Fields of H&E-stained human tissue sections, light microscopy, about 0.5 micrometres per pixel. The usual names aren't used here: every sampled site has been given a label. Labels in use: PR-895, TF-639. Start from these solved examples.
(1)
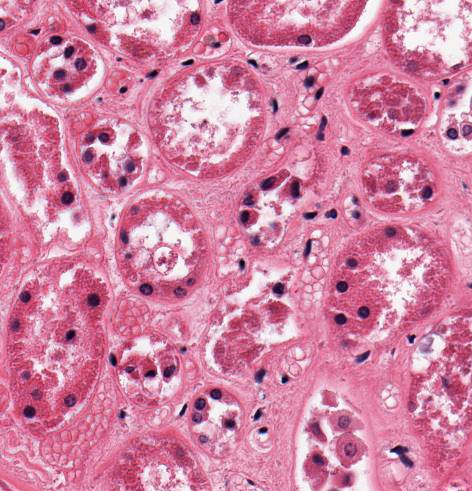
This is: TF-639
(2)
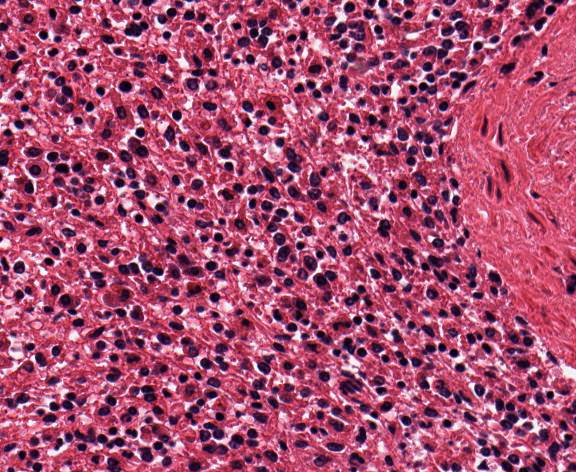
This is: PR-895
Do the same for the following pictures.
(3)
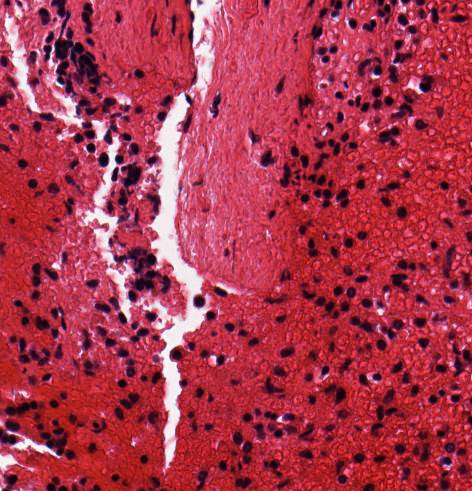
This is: PR-895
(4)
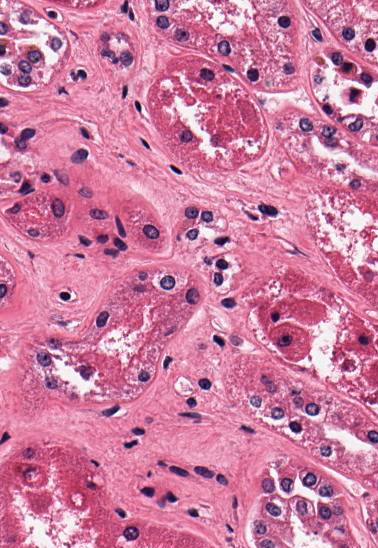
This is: TF-639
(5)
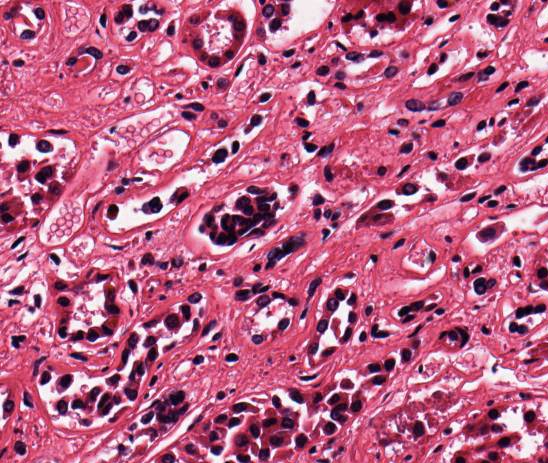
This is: TF-639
